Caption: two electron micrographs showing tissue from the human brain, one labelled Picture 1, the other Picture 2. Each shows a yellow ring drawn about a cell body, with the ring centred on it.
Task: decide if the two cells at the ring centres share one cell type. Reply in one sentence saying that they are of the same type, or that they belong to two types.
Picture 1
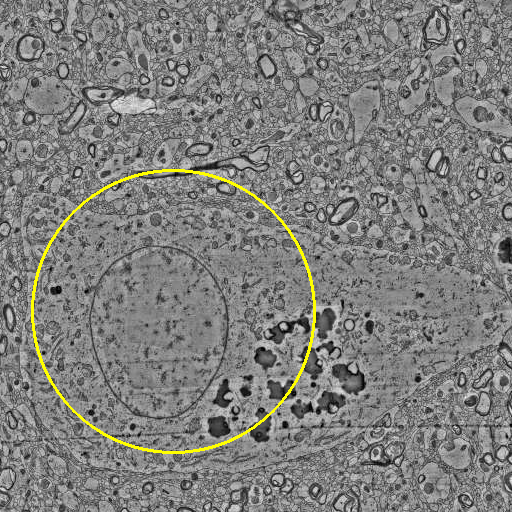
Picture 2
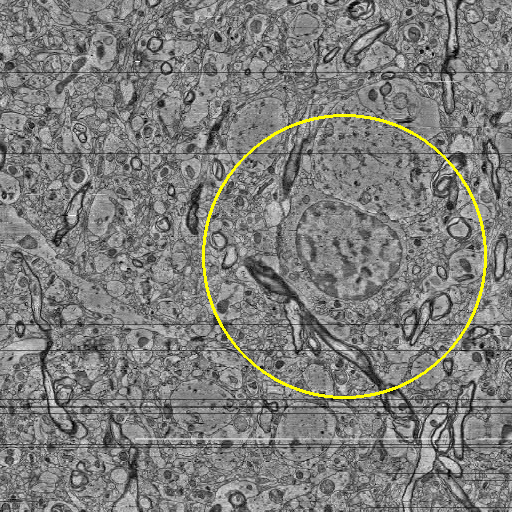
The cells at the ring centres in Picture 1 and Picture 2 belong to two types.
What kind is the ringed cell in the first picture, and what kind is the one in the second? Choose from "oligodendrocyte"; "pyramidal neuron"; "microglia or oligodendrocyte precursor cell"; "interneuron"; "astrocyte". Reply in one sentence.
The first cell is a pyramidal neuron; the second is an oligodendrocyte.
